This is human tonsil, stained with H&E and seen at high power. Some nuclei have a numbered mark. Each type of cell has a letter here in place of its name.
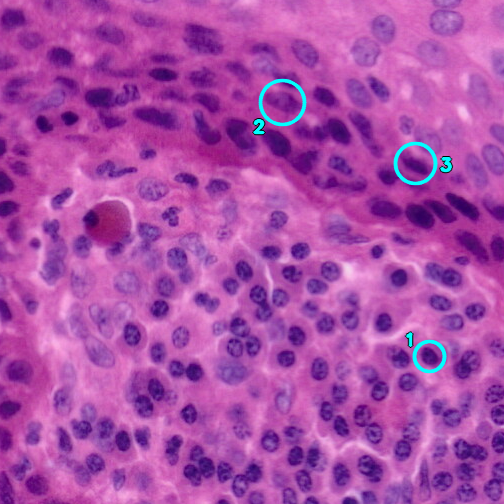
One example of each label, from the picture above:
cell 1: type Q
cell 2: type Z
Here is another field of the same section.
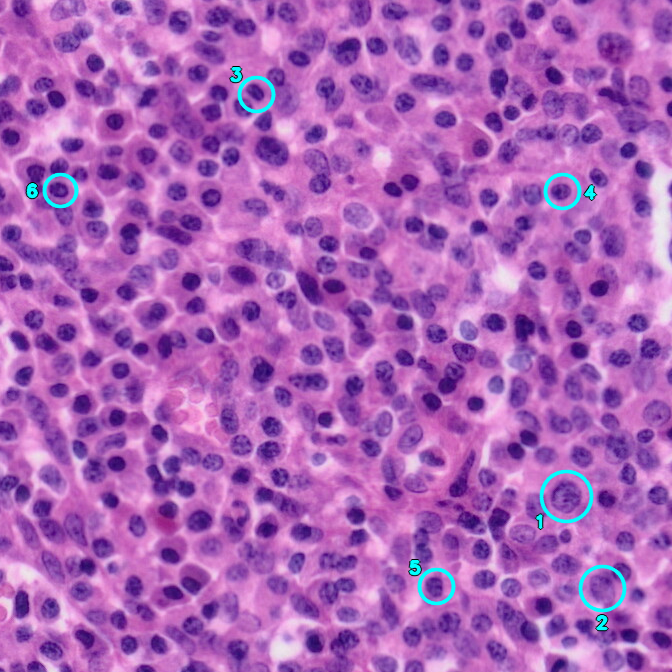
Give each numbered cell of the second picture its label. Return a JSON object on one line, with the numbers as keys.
{"1": "type Z", "2": "type Z", "3": "type Q", "4": "type Q", "5": "type Q", "6": "type Q"}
